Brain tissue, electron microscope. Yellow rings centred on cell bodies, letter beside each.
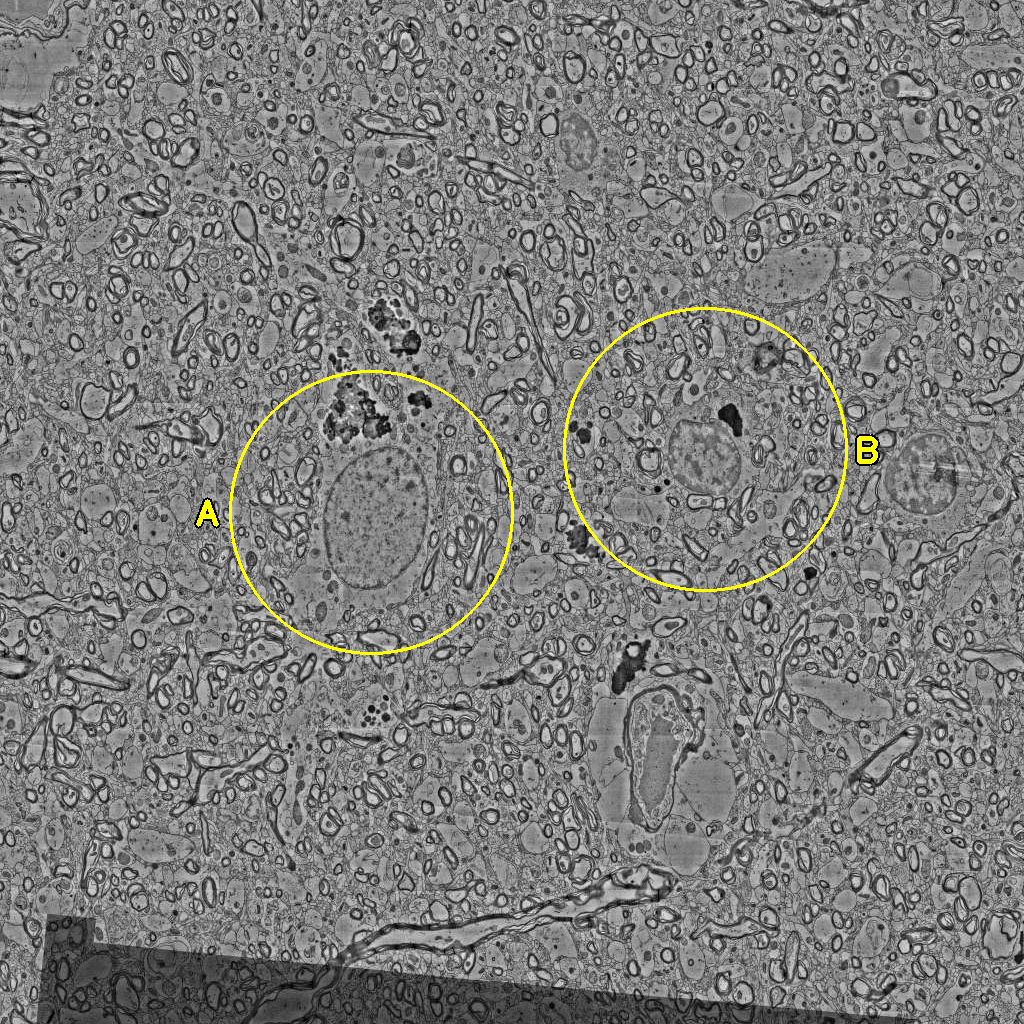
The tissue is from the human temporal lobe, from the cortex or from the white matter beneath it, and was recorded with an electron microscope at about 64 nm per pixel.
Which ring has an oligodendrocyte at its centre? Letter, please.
B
